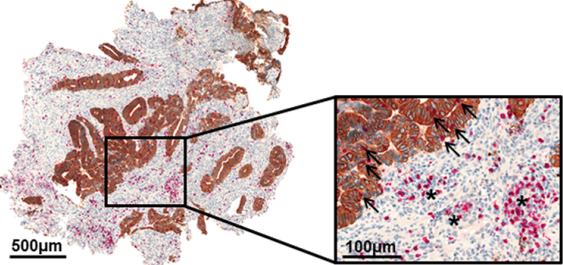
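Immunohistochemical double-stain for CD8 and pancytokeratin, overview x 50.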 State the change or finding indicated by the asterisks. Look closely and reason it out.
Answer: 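Stromal infiltrates. In the inset the asterisks lie in the loose stroma between the brown epithelial glands. Clusters of small round red-stained cells gather around the asterisks.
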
